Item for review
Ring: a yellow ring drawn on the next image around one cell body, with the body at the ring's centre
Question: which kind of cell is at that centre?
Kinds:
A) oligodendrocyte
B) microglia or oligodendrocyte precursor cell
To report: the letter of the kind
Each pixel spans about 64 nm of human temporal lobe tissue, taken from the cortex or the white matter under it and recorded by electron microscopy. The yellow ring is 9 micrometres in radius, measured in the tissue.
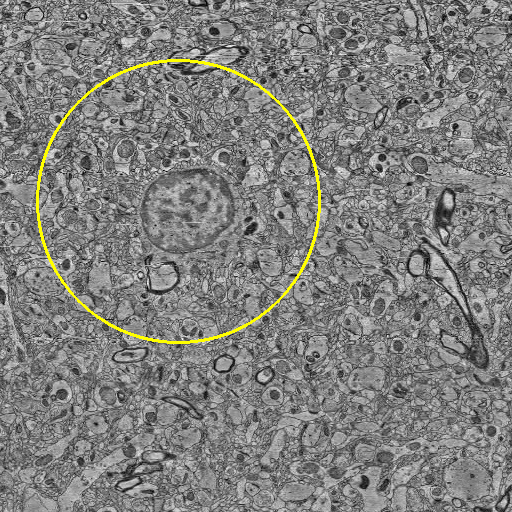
A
